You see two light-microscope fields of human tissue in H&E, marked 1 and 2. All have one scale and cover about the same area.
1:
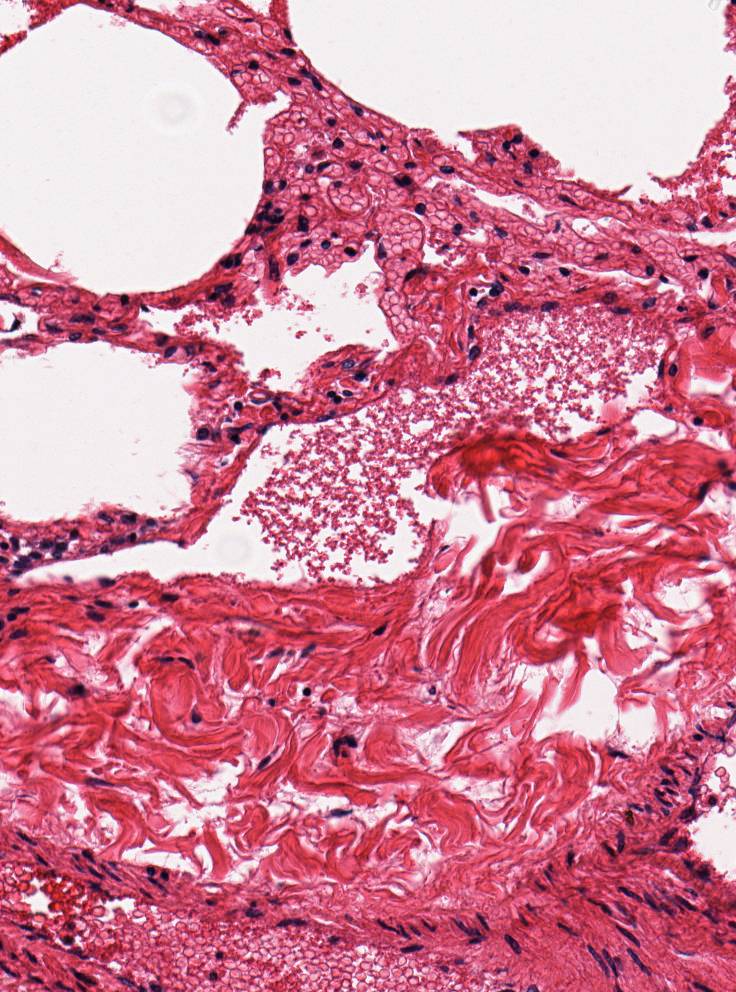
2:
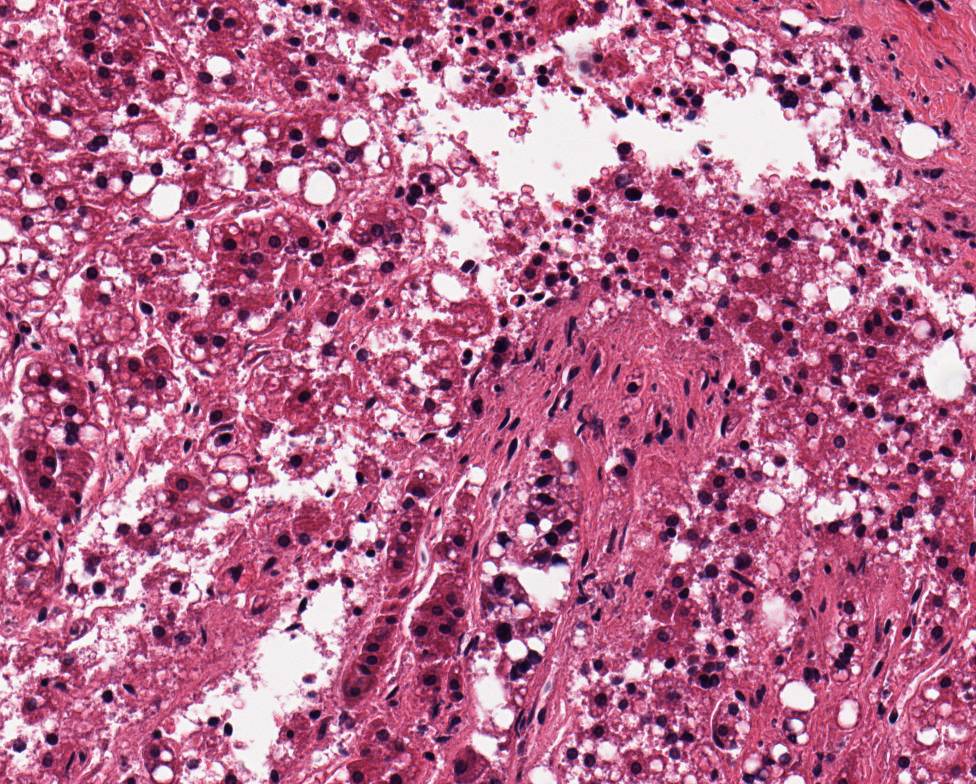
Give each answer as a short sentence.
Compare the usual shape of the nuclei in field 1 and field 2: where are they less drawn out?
The nuclei are rounder in field 2.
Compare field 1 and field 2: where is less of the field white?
Unstained space takes up less of field 2 than of field 1.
